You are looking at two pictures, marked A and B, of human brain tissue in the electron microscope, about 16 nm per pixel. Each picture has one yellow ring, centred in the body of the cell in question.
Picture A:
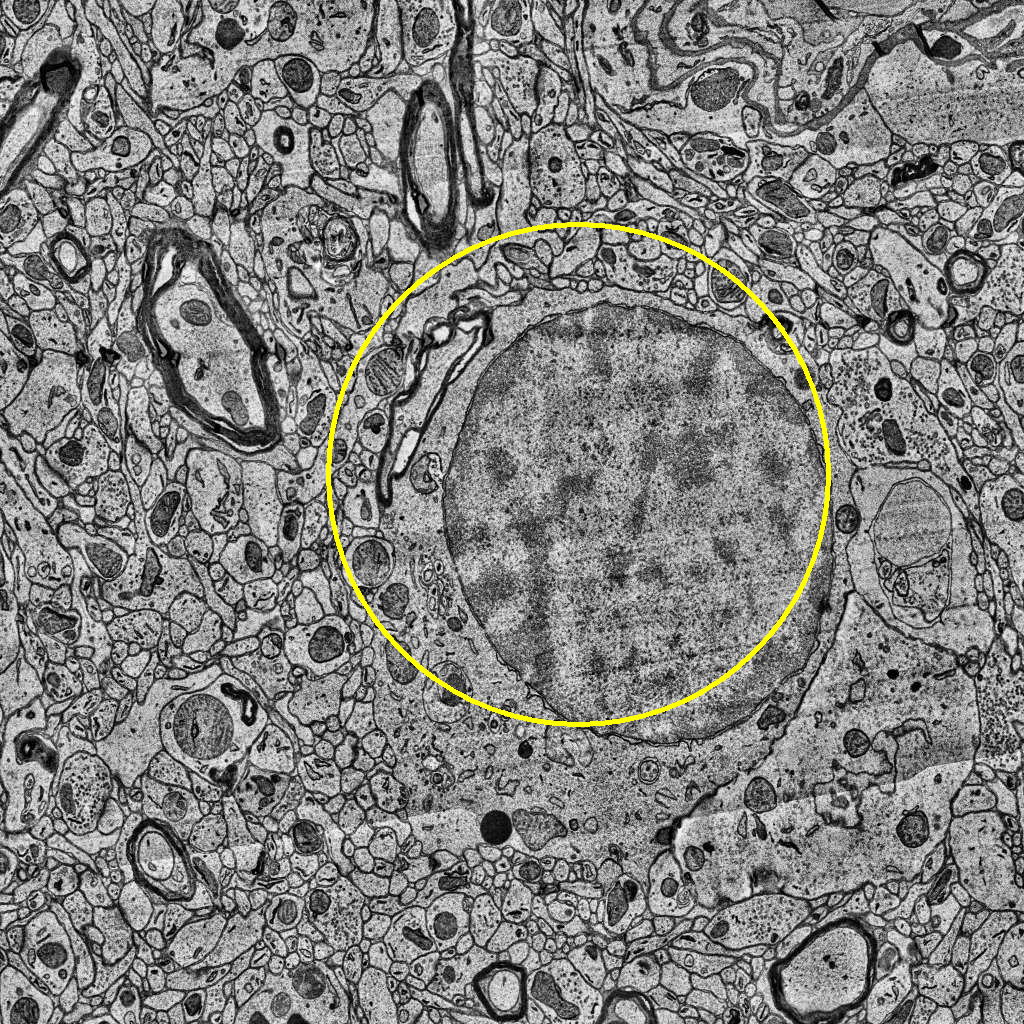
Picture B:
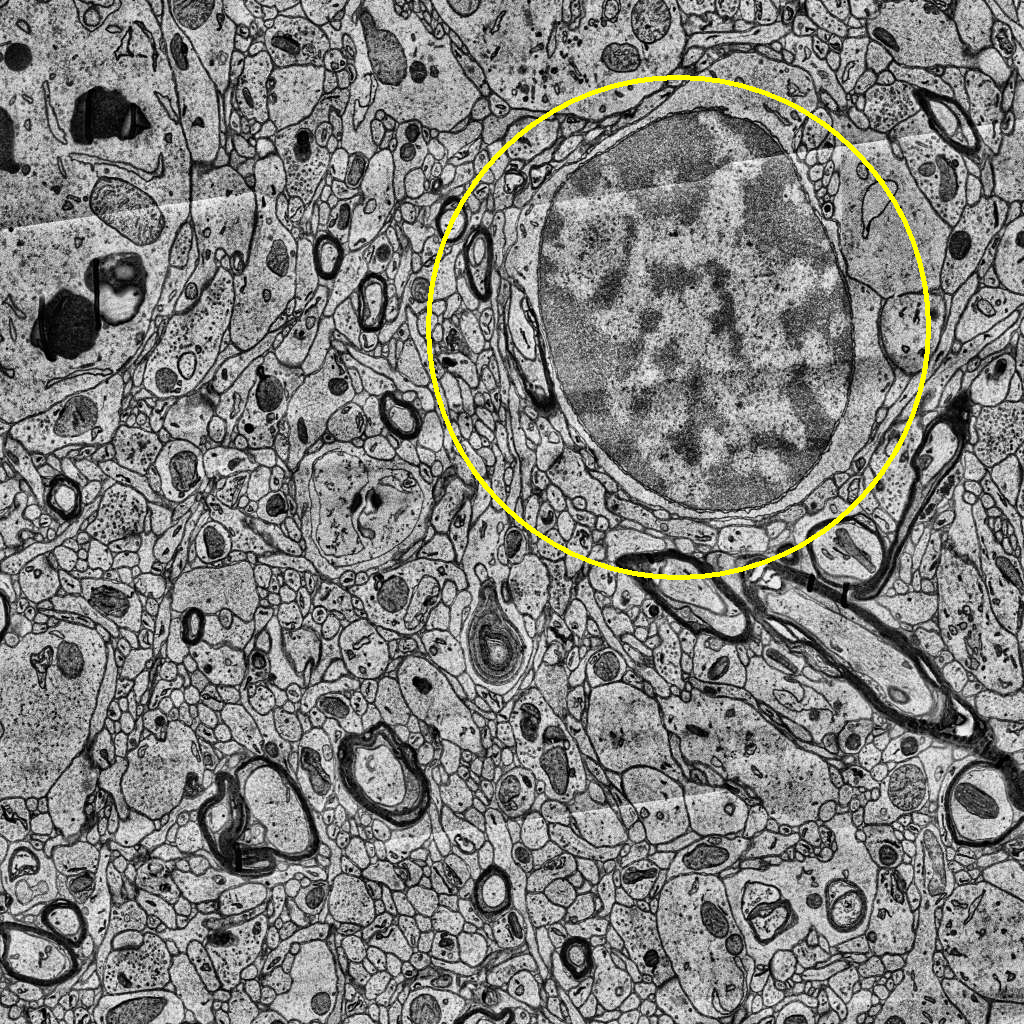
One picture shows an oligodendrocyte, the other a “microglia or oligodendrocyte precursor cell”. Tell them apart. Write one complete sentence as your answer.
Picture A shows an oligodendrocyte and picture B shows a “microglia or oligodendrocyte precursor cell”.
